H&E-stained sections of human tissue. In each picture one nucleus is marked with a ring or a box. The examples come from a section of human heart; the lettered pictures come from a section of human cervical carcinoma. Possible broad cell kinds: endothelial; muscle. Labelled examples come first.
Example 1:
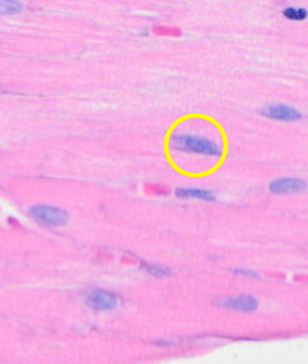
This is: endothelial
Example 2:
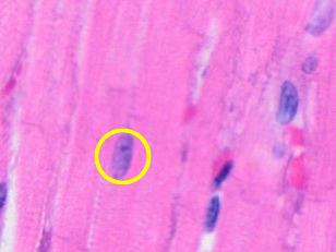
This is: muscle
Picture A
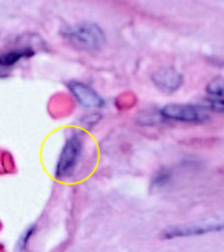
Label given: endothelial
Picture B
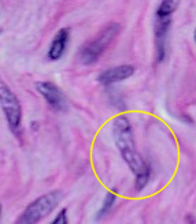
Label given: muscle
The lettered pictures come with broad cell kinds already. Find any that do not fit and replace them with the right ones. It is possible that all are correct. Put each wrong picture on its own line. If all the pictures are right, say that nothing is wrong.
No label is wrong.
